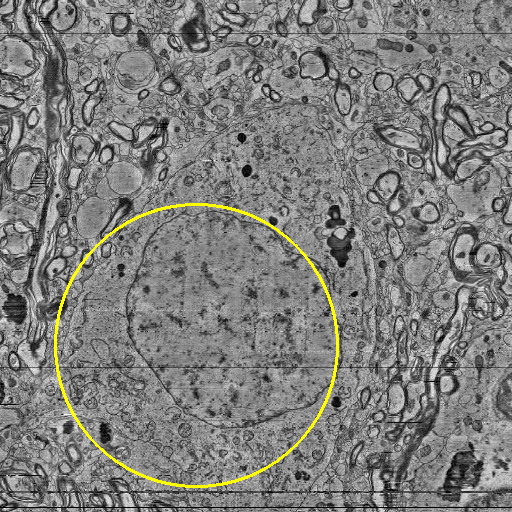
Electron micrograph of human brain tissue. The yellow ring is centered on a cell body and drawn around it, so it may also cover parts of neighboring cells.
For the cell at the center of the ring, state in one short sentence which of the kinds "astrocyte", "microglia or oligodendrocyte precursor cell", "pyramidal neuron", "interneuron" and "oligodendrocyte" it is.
This ring is centered on a pyramidal neuron.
